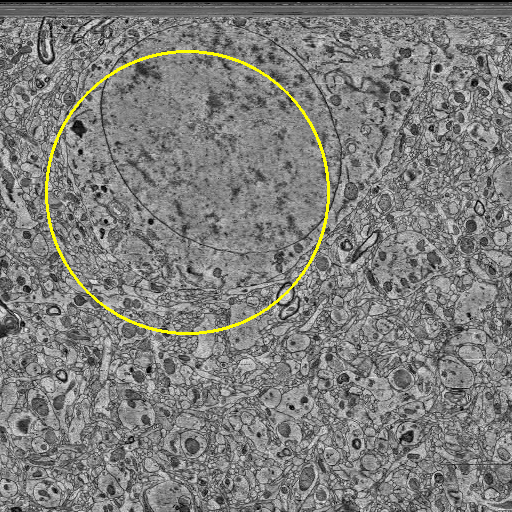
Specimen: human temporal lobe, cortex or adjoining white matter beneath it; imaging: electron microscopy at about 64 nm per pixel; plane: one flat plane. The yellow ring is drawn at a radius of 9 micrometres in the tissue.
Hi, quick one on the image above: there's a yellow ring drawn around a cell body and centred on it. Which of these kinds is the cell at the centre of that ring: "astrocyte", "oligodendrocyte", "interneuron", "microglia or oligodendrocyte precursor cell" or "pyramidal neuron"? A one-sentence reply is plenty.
The cell at the centre of the ring is a pyramidal neuron.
